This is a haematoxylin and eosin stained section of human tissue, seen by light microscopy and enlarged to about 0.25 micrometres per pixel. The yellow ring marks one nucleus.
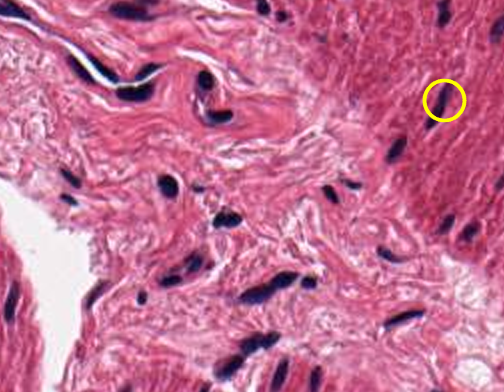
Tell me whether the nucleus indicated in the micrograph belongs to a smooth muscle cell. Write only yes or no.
yes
